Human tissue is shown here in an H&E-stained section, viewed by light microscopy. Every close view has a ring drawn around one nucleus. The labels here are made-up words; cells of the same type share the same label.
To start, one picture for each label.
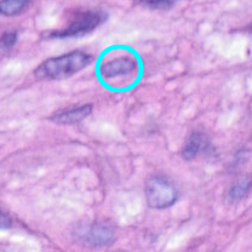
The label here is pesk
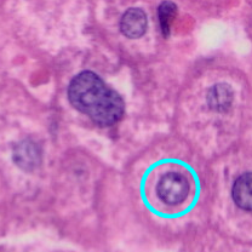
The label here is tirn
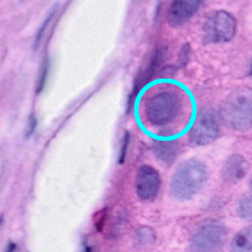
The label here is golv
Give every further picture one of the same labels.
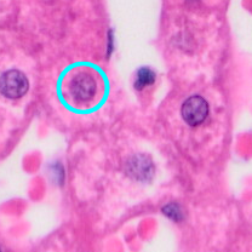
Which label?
tirn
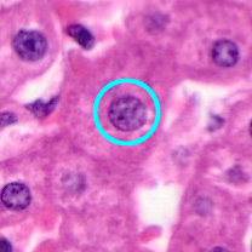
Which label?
tirn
